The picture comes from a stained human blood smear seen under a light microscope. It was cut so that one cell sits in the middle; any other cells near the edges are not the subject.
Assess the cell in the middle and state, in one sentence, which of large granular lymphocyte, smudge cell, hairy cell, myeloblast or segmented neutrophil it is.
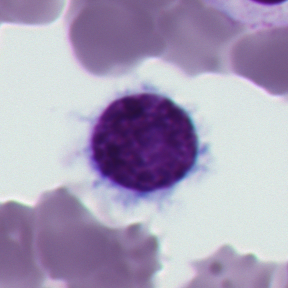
The cell that lies at the centre of the crop is a hairy cell.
